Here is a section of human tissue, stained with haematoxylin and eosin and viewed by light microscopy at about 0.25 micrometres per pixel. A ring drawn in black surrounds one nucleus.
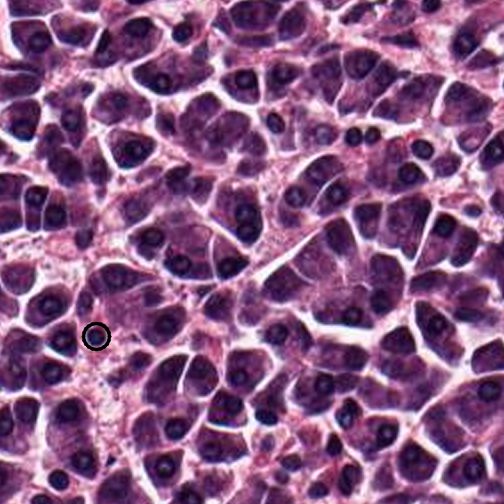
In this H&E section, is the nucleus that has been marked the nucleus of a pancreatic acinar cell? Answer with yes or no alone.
no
